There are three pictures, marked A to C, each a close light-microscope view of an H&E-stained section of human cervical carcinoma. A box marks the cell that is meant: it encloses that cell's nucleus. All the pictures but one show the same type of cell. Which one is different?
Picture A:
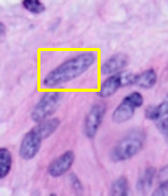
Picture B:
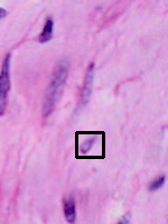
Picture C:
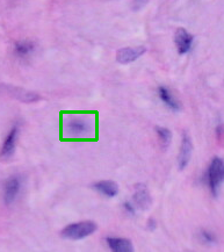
A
